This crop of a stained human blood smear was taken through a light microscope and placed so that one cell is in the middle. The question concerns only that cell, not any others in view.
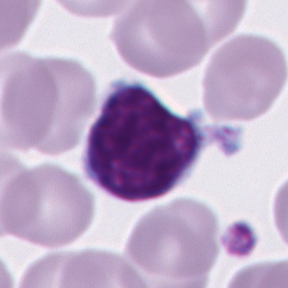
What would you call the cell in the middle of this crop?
typical lymphocyte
